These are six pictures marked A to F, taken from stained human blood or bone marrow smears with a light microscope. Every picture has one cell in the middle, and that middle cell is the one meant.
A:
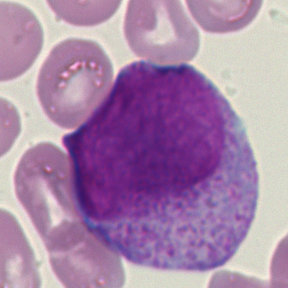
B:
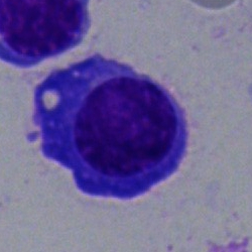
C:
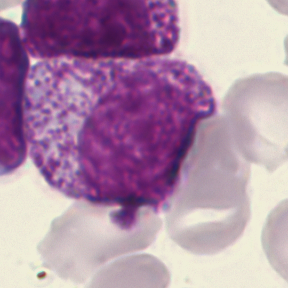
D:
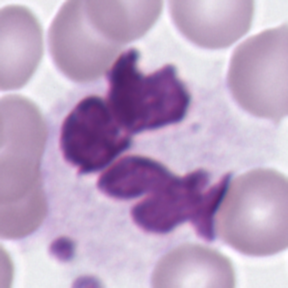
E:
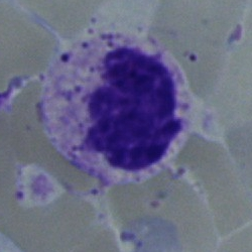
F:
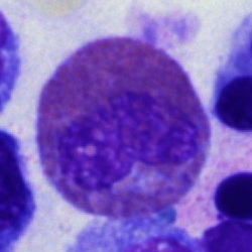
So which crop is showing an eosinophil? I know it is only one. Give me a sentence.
Crop F is the crop that shows an eosinophil in its middle.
